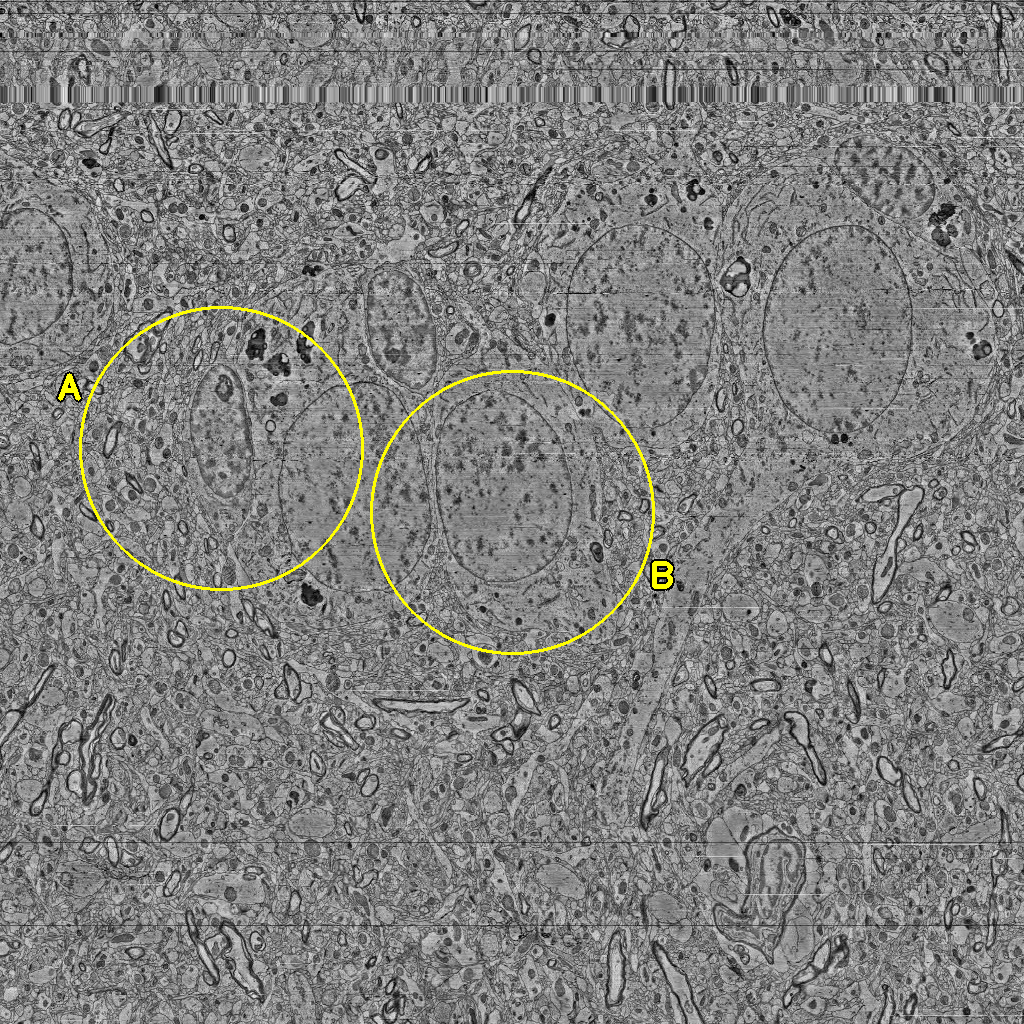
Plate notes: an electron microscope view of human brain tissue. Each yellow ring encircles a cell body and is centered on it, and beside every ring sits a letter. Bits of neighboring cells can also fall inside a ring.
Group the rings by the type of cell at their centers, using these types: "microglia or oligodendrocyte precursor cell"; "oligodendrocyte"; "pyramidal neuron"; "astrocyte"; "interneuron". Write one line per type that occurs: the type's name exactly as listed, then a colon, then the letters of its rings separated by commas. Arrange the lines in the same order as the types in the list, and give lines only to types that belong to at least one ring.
oligodendrocyte: A
pyramidal neuron: B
